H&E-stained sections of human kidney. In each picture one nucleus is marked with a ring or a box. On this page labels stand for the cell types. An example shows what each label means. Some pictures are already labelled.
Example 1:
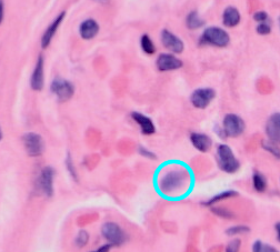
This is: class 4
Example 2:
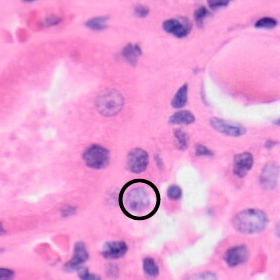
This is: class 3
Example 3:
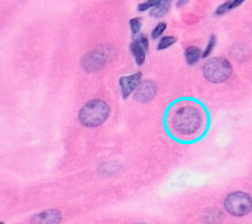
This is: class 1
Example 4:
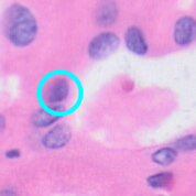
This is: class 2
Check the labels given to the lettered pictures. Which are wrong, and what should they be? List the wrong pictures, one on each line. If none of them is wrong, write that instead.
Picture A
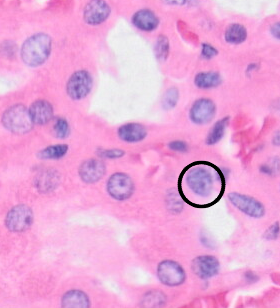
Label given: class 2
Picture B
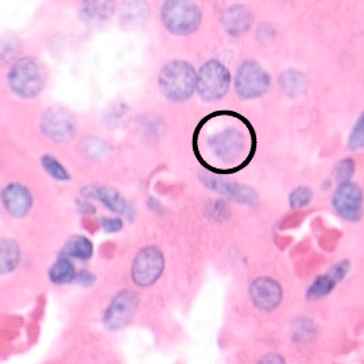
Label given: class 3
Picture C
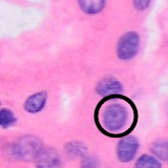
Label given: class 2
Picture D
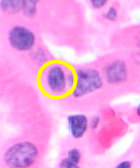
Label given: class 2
Nothing to fix; every label fits.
